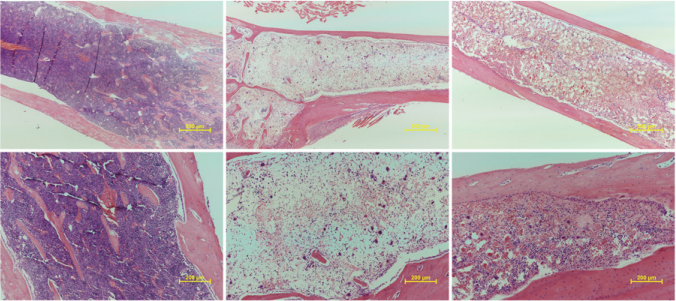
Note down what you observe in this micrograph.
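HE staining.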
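Each tile shows a long bone cut lengthwise, with pink compact bone walls around a marrow cavity. In some tiles the cavity is packed with small dark purple nucleated cells, while in others it is pale, with few scattered cells, open spaces and red blood cells, a marrow that has lost much of its cellularity.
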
